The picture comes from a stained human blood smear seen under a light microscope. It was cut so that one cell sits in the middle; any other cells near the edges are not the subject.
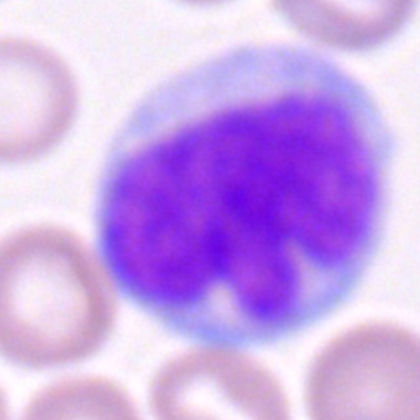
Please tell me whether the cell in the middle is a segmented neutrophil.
no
